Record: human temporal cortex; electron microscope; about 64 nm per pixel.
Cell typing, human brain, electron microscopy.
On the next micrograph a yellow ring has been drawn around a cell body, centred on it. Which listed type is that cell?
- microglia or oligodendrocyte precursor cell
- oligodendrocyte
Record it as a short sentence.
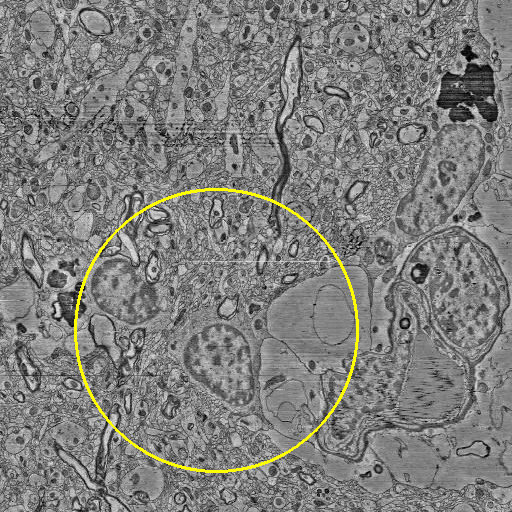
The cell body in the ring's centre belongs to an oligodendrocyte.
